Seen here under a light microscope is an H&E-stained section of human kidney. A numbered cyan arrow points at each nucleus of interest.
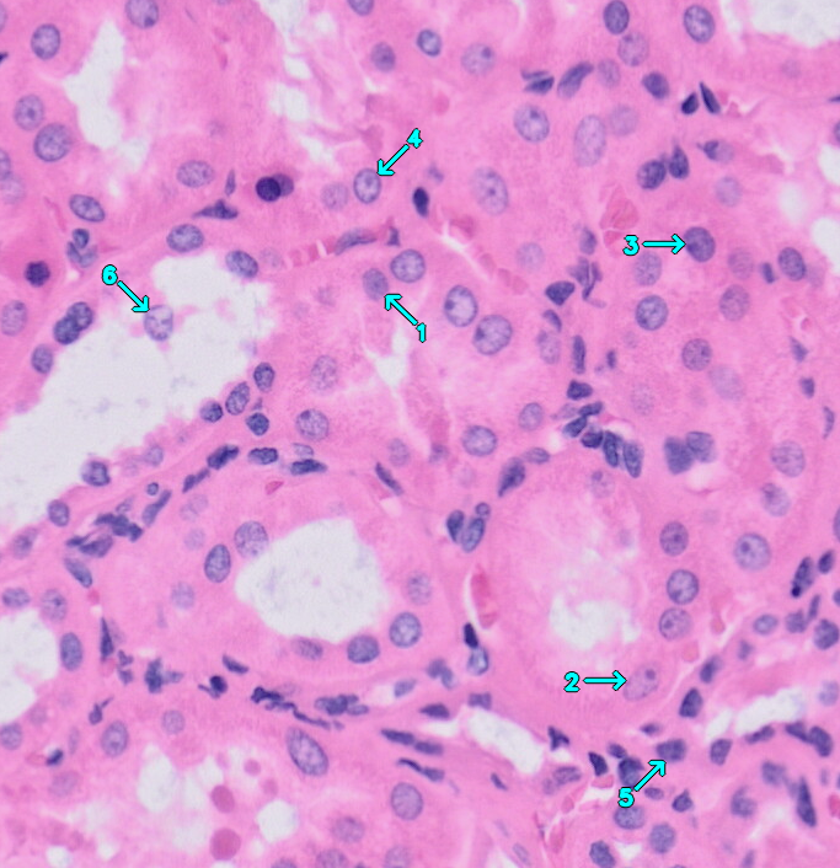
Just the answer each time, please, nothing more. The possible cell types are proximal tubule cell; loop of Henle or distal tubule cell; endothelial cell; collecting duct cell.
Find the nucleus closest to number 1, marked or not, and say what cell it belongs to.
proximal tubule cell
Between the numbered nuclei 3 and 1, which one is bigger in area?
3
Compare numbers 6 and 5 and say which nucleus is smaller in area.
5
